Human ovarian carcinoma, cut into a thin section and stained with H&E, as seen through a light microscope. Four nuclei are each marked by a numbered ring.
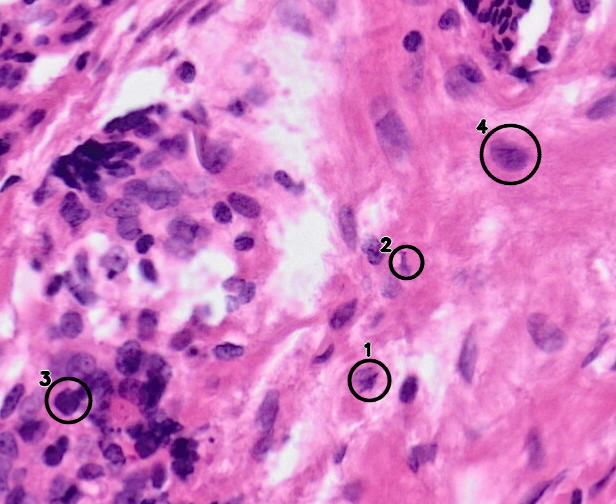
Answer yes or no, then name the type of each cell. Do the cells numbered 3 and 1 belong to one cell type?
No, cell 3 is to be identified as a carcinoma cell and cell 1 as a fibroblast.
